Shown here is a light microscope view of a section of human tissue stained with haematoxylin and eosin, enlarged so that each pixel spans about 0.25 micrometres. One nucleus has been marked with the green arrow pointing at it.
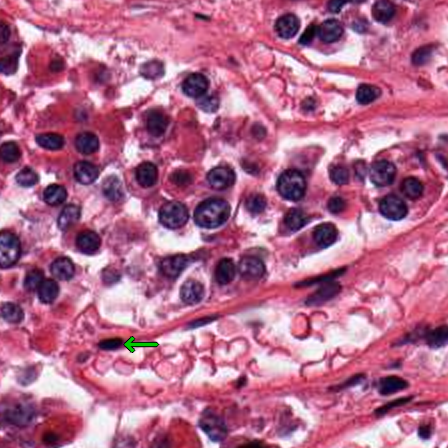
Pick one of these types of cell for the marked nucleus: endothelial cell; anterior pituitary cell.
endothelial cell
